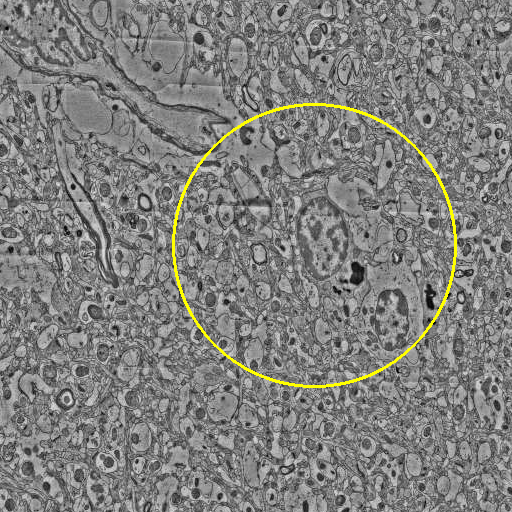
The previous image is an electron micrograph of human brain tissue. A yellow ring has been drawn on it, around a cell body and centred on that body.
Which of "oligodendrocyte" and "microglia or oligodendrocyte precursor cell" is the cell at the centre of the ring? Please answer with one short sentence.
The cell body at the centre of the ring belongs to an oligodendrocyte.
